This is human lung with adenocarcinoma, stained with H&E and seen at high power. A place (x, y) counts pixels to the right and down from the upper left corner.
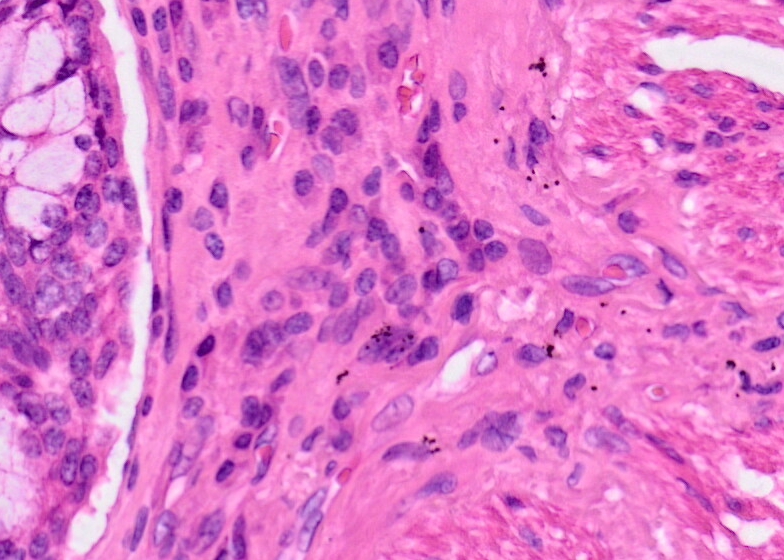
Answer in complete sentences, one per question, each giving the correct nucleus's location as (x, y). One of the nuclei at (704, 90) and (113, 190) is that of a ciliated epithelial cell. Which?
So, of the two, the nucleus at (113, 190) is the one belonging to a ciliated epithelial cell.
